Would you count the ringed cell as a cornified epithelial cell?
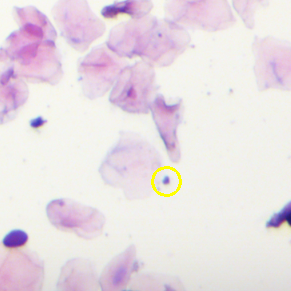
No, I would count it as a leukocyte.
